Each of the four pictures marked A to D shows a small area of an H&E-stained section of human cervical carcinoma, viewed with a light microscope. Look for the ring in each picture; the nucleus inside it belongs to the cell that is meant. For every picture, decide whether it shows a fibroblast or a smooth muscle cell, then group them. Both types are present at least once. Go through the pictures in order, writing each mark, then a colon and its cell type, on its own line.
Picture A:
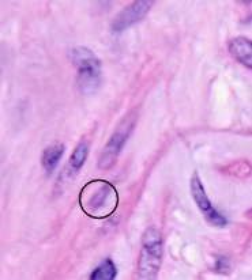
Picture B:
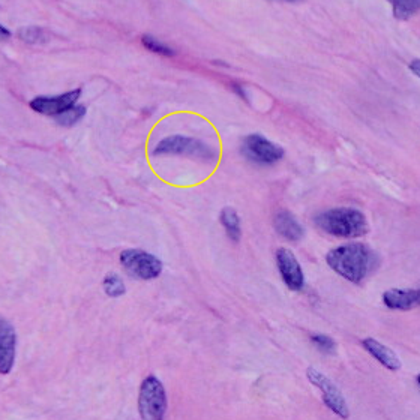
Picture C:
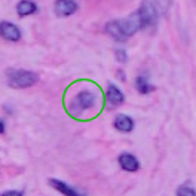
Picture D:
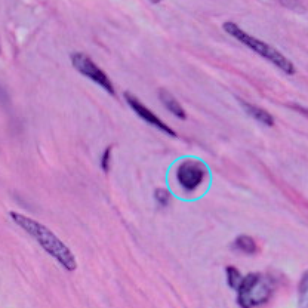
A: smooth muscle cell
B: fibroblast
C: smooth muscle cell
D: fibroblast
